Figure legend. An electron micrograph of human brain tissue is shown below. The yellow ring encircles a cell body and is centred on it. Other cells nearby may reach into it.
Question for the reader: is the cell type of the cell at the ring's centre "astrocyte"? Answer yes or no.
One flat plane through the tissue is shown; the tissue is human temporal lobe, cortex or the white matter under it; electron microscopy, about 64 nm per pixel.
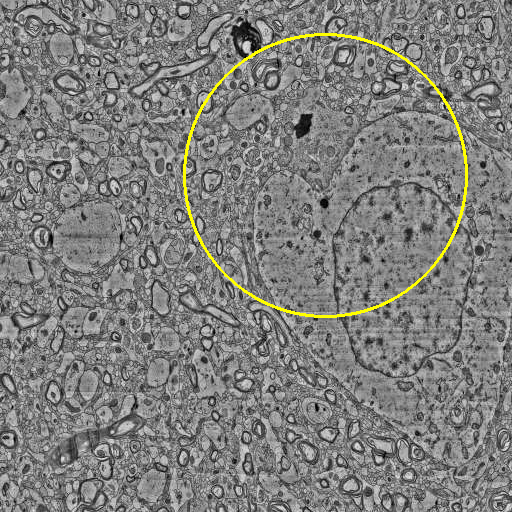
no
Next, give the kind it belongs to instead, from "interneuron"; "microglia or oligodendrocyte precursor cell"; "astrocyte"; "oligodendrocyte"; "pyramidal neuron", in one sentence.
Instead, the picture shows an oligodendrocyte at the centre of the ring.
